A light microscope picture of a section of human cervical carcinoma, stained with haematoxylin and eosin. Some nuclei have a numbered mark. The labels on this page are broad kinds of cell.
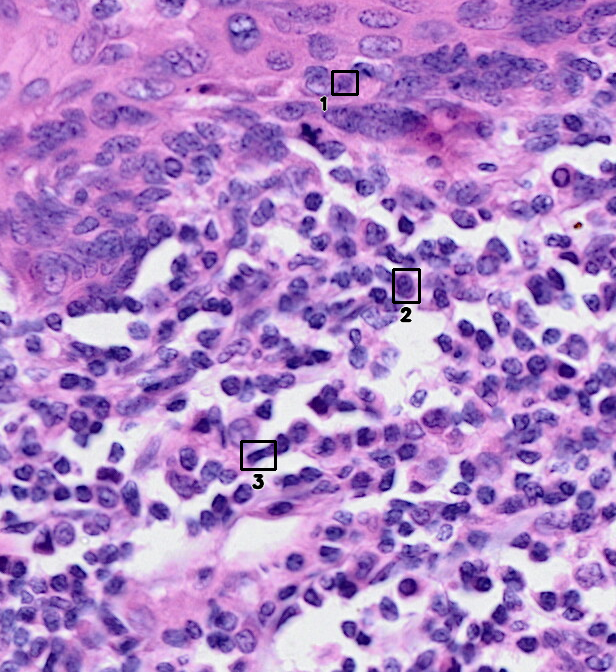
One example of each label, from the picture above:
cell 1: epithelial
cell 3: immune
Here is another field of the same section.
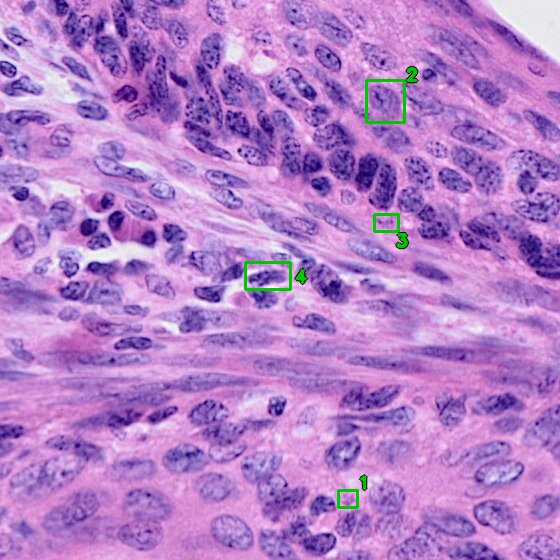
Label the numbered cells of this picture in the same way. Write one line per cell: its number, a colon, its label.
1: epithelial
2: epithelial
3: epithelial
4: immune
